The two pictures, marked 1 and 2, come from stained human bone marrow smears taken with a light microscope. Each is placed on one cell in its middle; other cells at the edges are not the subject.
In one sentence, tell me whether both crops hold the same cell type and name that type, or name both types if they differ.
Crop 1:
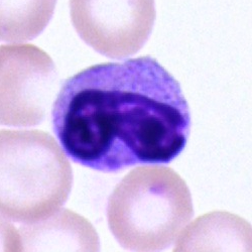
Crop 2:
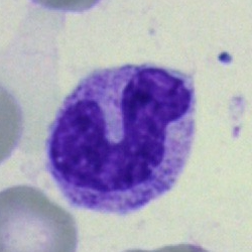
Yes, what both crops show at their centres are band neutrophils.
